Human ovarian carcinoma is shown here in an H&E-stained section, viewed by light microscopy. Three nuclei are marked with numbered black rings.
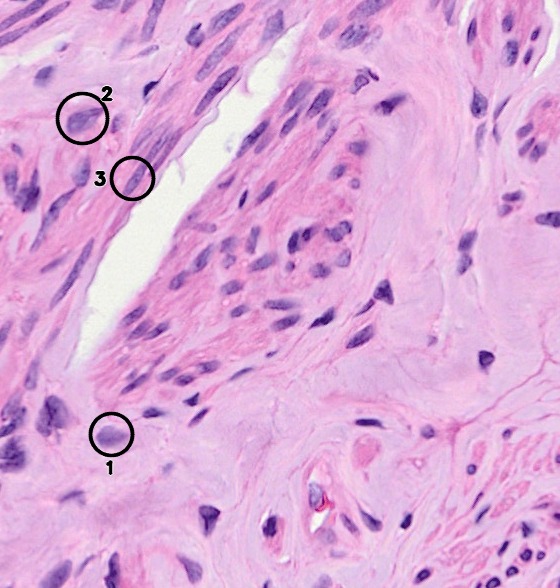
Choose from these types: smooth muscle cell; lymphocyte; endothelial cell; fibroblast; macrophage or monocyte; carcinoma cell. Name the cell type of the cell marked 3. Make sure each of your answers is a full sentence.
The cell carrying label 3 is identified as a smooth muscle cell.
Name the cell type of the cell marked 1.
Cell 1 should be recorded as a fibroblast.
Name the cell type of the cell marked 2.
The cell numbered 2 has been identified as a smooth muscle cell.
